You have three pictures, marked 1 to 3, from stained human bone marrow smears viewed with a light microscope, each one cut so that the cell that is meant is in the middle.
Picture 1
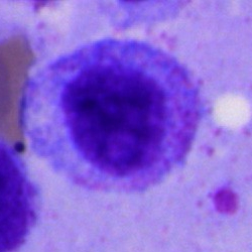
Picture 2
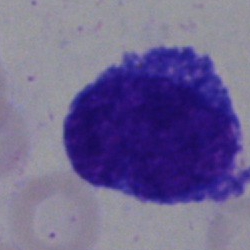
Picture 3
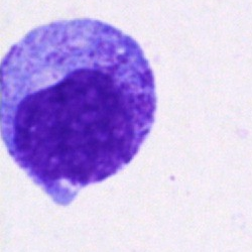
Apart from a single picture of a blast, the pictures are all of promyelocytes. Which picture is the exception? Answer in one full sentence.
The picture with the blast is 2.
